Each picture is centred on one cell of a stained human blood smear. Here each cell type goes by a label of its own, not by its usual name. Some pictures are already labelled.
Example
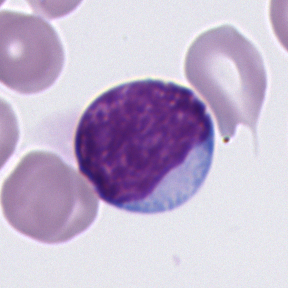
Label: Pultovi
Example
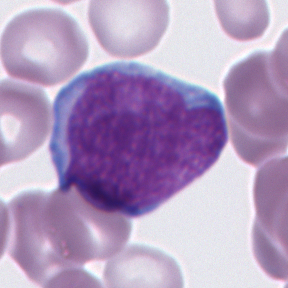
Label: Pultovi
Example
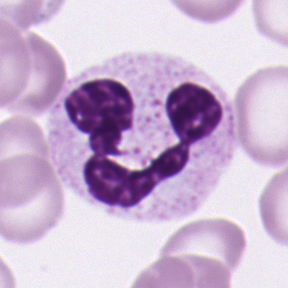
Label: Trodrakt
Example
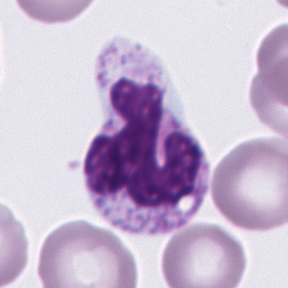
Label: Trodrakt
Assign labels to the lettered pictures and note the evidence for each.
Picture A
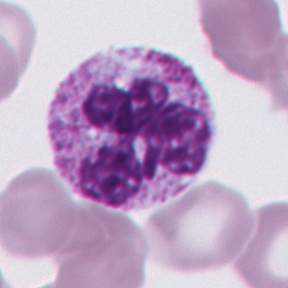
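Trodrakt: The nucleus is divided into several separate lobes.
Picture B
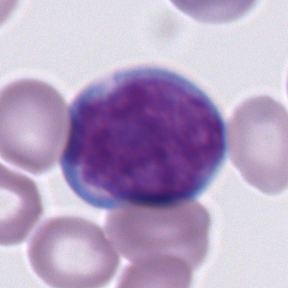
Pultovi: The cytoplasm is a thin blue rim around the nucleus.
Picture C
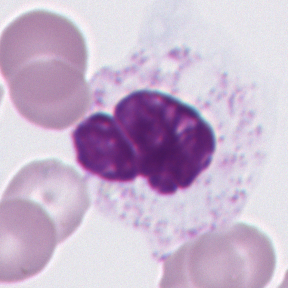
Trodrakt: The cytoplasm is very pale, almost colourless.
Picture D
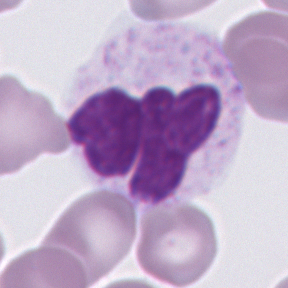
Trodrakt: The nucleus is folded into several lobed portions separated by deep clefts.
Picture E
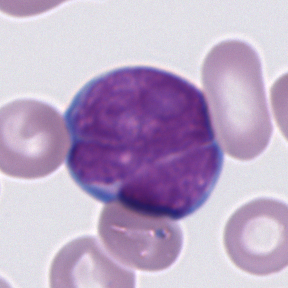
Pultovi: The cytoplasm forms only a thin blue rim that is widest at the lower left.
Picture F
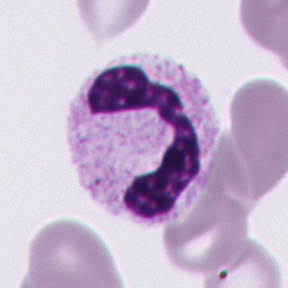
Trodrakt: The nucleus is a single curved band bent like a C whose opening faces left.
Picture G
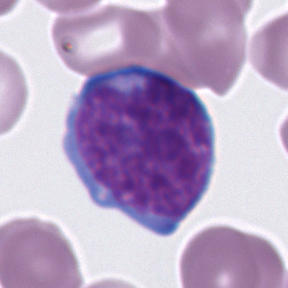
Pultovi: The cytoplasm is blue.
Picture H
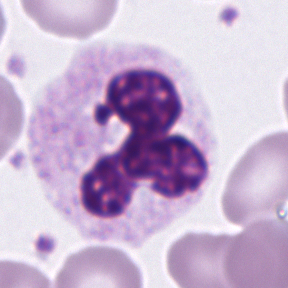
Trodrakt: The nucleus is divided into three joined lobes.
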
